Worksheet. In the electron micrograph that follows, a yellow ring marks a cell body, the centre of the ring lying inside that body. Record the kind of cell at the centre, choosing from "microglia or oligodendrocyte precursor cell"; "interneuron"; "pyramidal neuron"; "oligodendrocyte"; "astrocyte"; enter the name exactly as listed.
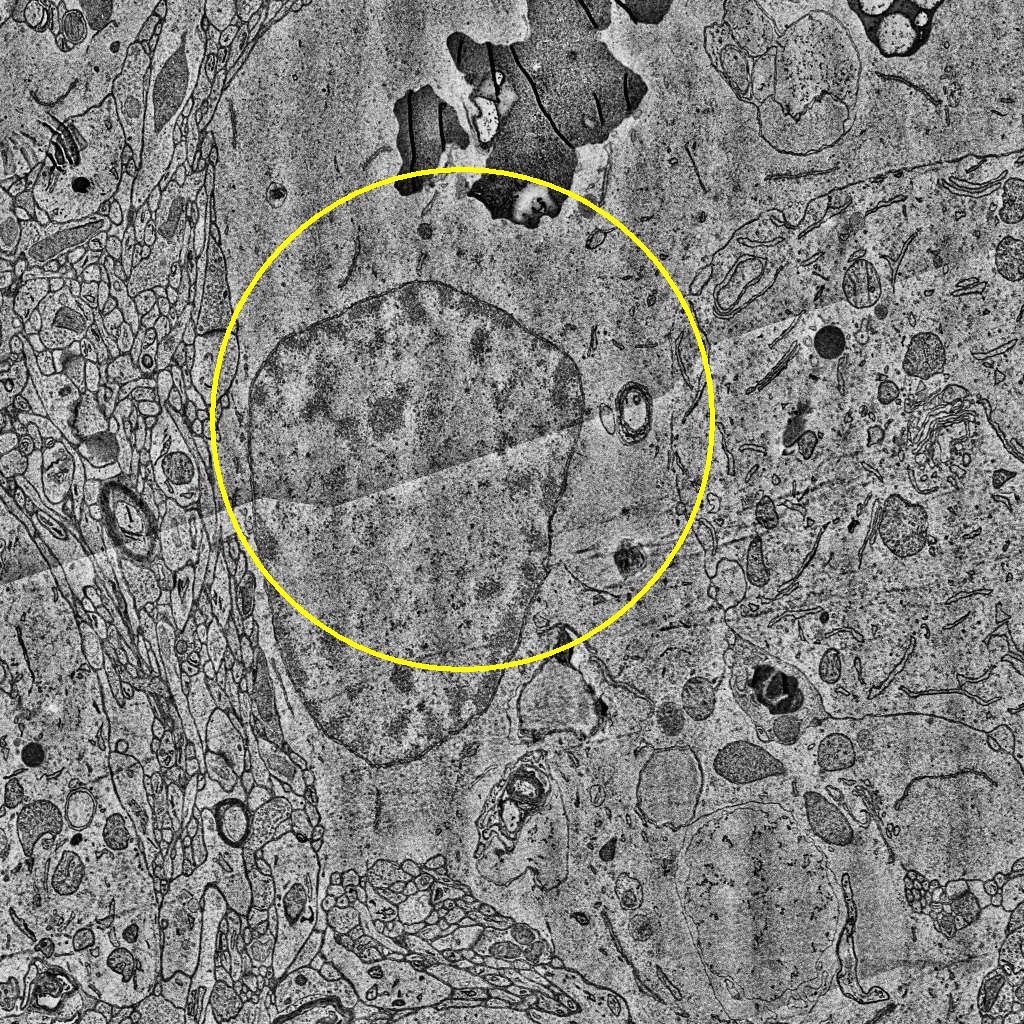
astrocyte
